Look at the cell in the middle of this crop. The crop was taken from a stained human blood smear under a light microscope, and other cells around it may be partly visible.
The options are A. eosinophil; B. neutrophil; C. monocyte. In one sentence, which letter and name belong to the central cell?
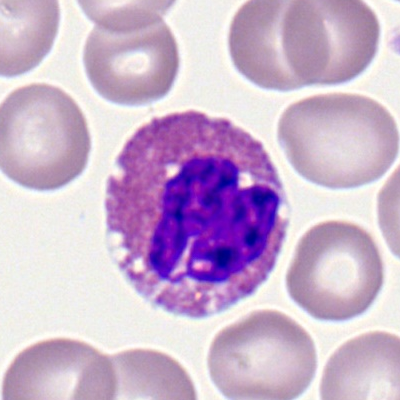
The best answer is option A, since the cell in the middle is an eosinophil.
